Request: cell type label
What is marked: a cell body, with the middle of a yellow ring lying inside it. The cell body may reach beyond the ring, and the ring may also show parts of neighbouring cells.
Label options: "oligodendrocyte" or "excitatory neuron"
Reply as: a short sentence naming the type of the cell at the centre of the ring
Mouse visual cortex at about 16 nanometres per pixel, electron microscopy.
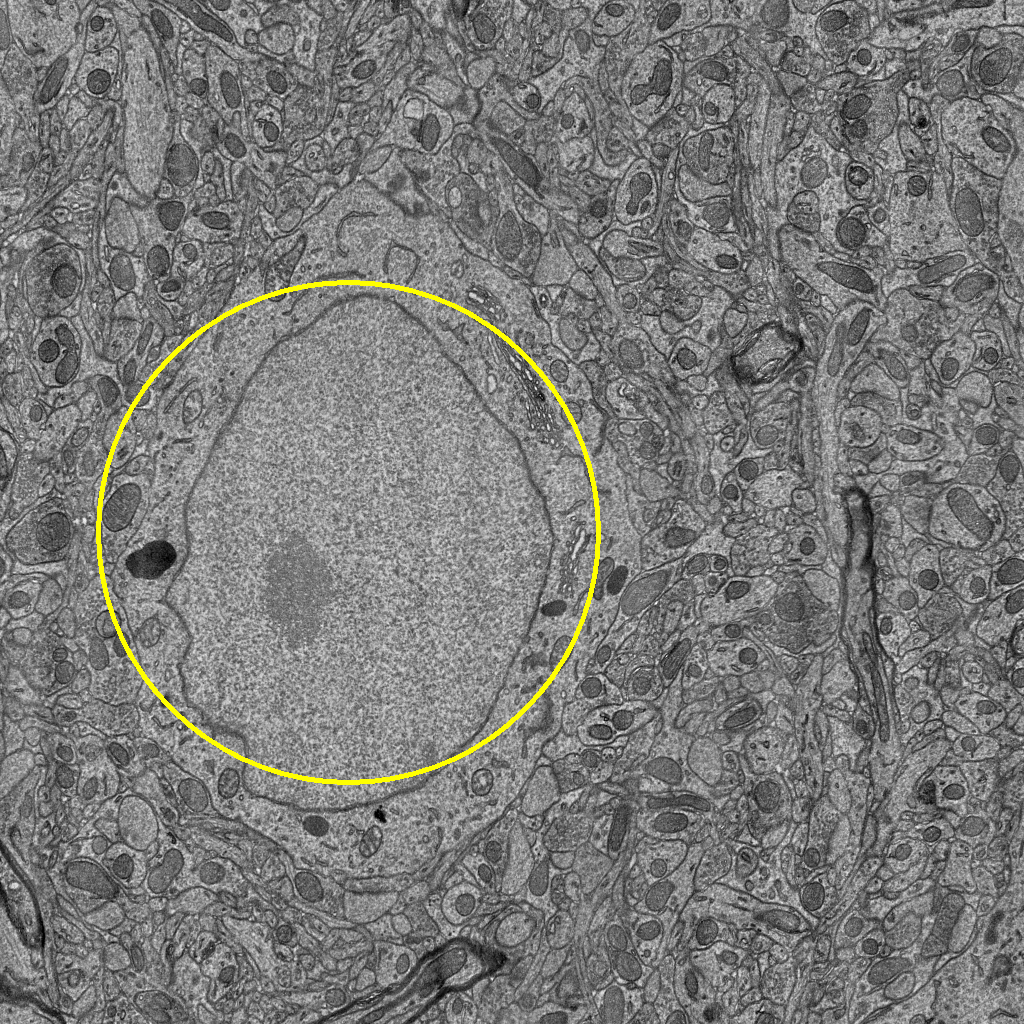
The marked cell body is that of an excitatory neuron.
